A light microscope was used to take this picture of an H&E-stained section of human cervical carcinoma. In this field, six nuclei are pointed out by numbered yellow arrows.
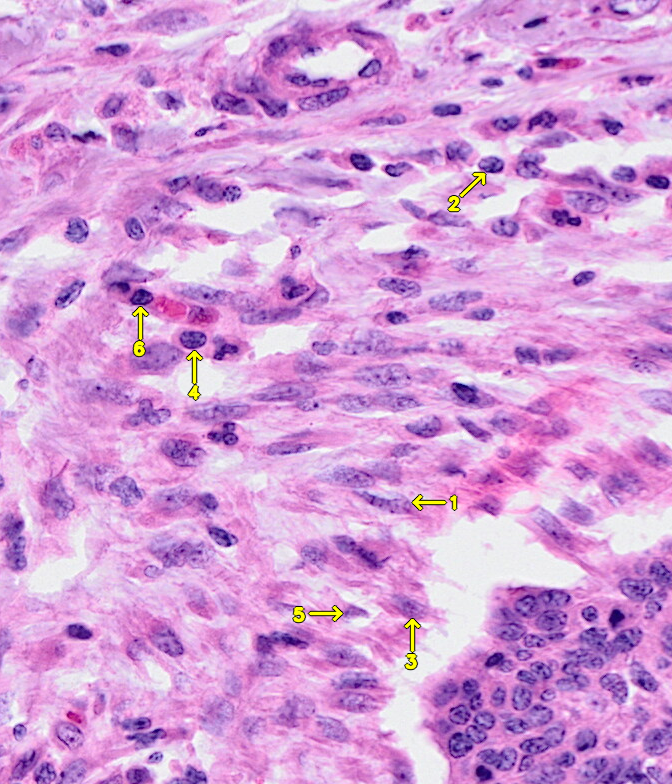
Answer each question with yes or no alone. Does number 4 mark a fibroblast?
no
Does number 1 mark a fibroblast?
yes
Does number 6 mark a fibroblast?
no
